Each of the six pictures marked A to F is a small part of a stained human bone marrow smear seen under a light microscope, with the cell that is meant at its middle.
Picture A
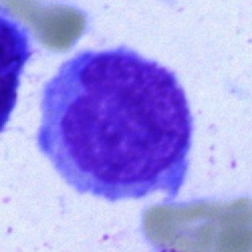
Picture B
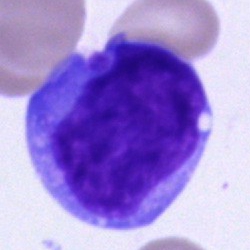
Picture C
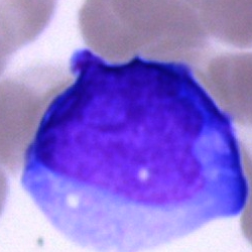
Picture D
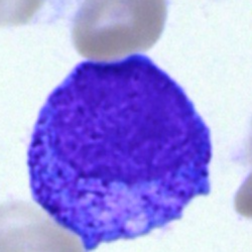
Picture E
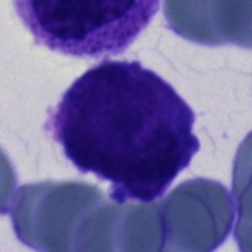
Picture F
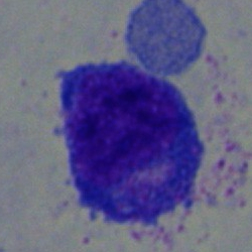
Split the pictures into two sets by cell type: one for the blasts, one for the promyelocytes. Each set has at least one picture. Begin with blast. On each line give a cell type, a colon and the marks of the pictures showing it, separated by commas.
blast: A, B, C, E
promyelocyte: D, F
